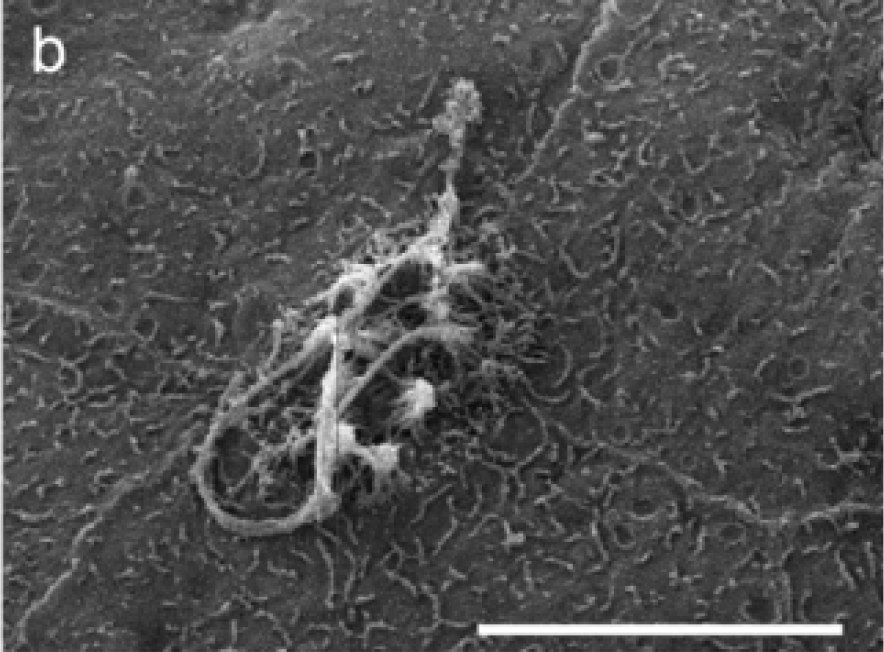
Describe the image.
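This scanning electron micrograph shows a lateral line neuromast with its hair cell bundles clustered at the centre of a small patch on the skin surface. Small tufts of short projections sit in the cluster, and long, thin projections extend from it, one looping to the side and one rising upward. The surrounding epidermis bears fine winding ridges.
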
